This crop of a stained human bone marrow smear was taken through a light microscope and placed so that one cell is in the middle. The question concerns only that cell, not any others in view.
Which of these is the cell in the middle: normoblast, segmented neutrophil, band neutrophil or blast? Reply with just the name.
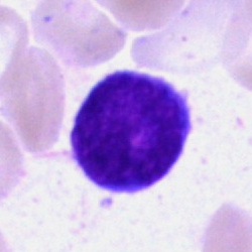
blast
